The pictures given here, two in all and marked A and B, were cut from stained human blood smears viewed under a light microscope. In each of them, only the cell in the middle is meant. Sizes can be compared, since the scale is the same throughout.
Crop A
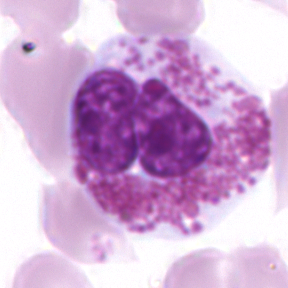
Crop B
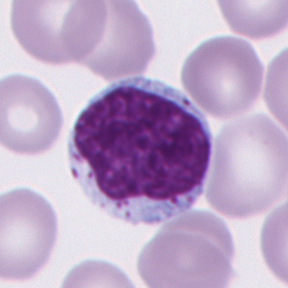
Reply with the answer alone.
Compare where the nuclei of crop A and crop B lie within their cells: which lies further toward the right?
B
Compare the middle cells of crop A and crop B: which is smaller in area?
B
